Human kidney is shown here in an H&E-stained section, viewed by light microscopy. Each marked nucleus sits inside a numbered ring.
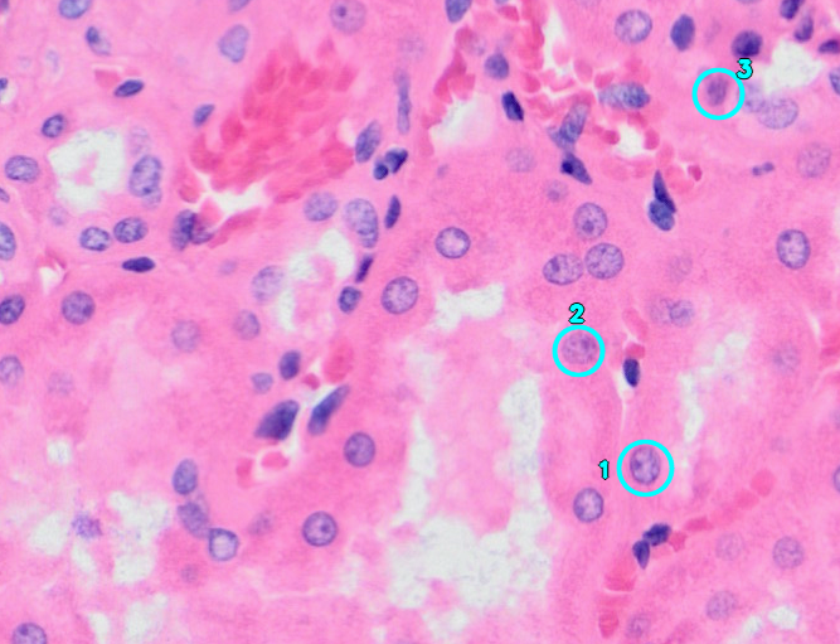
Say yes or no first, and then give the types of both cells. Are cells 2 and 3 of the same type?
No, cell 2 is a proximal tubule cell and cell 3 is a collecting duct cell.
